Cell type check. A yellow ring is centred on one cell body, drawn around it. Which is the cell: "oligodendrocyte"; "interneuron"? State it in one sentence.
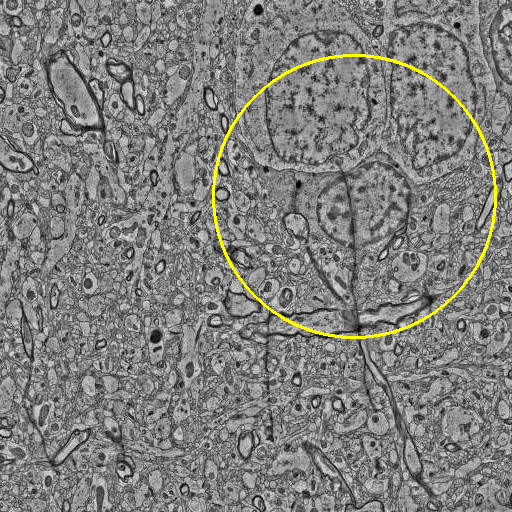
The cell body at the ring's centre belongs to an oligodendrocyte.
